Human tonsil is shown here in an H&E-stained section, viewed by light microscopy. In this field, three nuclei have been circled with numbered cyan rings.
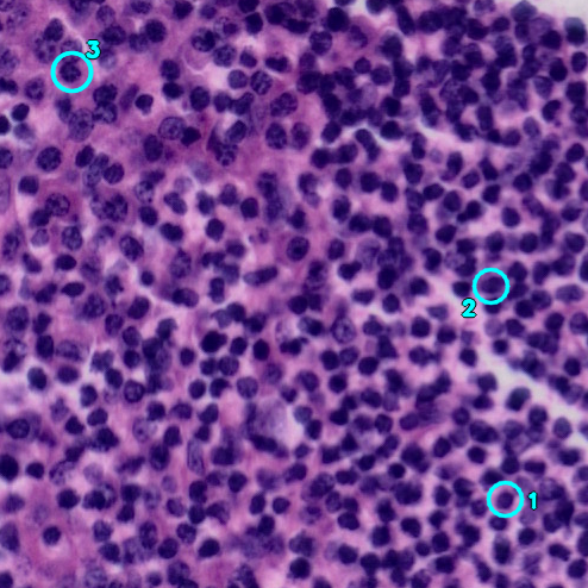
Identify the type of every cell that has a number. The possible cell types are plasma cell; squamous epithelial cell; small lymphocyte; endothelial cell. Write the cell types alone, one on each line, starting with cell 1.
small lymphocyte
small lymphocyte
plasma cell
